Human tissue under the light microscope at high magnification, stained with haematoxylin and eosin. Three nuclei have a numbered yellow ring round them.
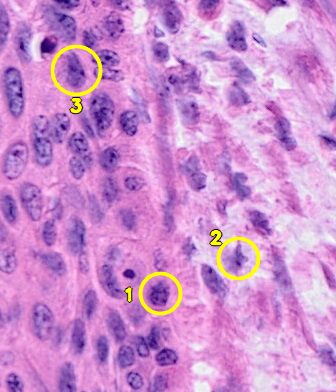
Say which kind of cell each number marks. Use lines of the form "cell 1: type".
cell 1: squamous carcinoma cell
cell 2: fibroblast
cell 3: squamous carcinoma cell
